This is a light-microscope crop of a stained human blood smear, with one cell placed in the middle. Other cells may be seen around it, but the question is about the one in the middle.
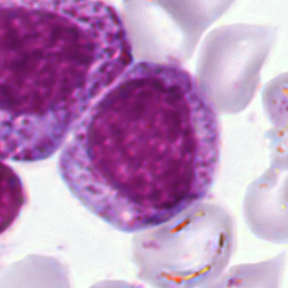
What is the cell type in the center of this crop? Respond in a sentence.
In the middle of this smear crop, the cell is a myelocyte.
